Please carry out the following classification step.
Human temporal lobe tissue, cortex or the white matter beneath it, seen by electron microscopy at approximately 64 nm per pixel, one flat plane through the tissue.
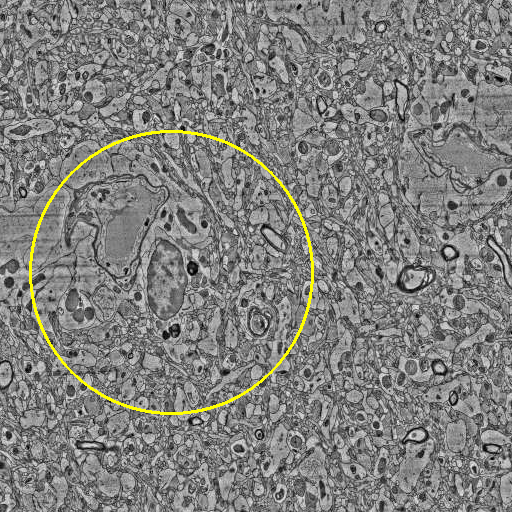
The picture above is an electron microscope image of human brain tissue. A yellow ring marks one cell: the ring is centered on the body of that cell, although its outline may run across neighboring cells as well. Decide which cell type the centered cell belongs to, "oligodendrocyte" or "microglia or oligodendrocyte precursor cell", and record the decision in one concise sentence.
The cell centered in the yellow ring is a microglial cell or oligodendrocyte precursor cell.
